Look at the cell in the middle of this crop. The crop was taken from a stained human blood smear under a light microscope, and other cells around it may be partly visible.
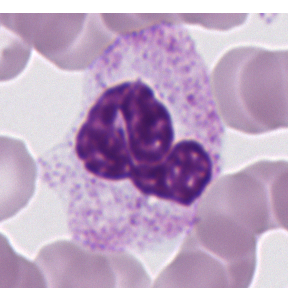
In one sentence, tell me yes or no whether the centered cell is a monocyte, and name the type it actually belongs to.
No, the central cell in this crop is a neutrophil and not a monocyte.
